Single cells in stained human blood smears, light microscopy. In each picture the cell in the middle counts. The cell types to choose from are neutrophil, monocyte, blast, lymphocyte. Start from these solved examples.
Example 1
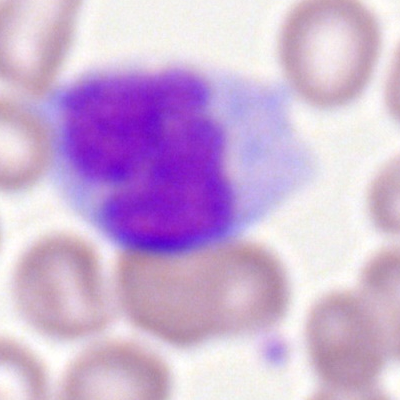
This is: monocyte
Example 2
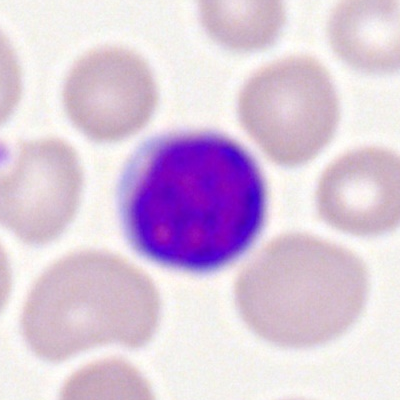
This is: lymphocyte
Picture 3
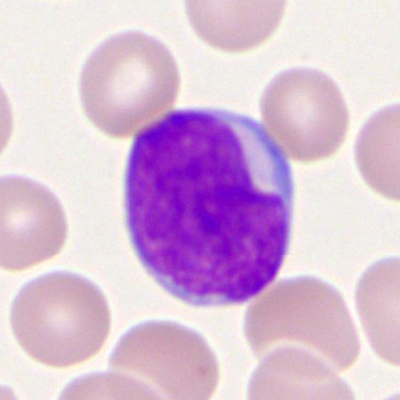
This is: blast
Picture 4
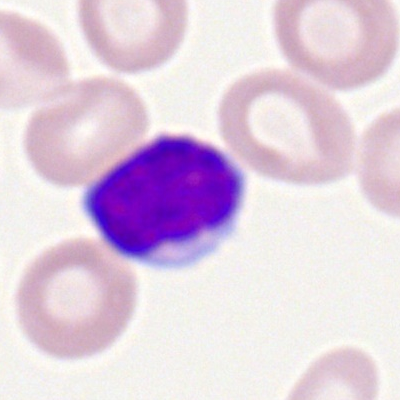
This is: lymphocyte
